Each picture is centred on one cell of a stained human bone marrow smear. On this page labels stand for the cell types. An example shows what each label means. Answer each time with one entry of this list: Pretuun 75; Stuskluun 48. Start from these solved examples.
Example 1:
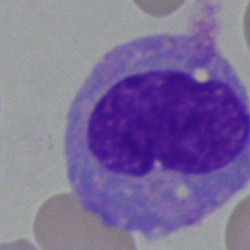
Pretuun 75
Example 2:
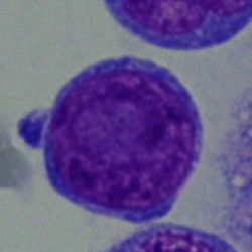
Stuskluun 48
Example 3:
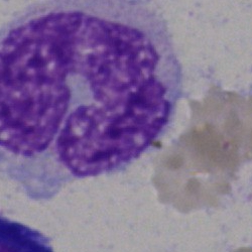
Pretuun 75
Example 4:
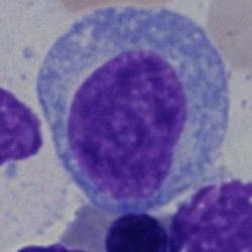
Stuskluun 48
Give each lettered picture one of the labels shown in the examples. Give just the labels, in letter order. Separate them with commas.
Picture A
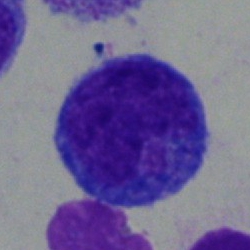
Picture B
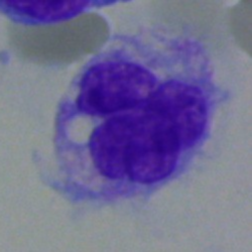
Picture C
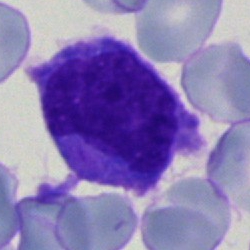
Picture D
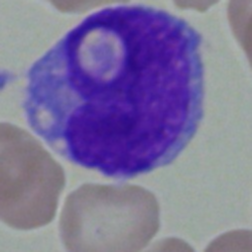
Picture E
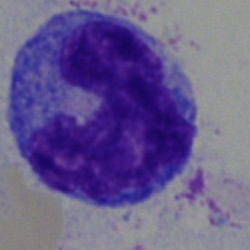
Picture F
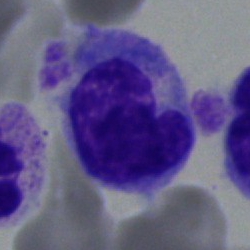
Stuskluun 48, Pretuun 75, Stuskluun 48, Pretuun 75, Pretuun 75, Pretuun 75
